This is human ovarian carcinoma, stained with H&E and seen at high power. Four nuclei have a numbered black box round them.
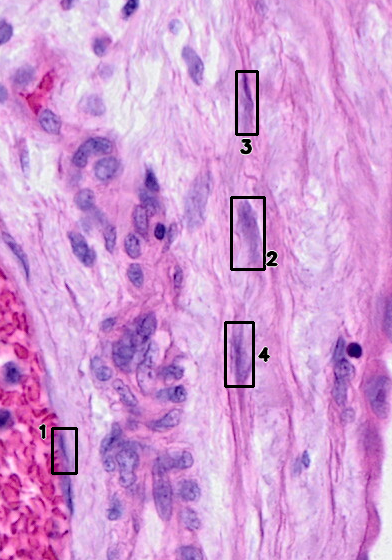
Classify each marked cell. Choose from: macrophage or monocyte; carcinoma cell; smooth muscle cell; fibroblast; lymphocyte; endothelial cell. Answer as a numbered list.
1. endothelial cell
2. fibroblast
3. fibroblast
4. fibroblast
